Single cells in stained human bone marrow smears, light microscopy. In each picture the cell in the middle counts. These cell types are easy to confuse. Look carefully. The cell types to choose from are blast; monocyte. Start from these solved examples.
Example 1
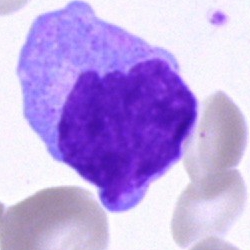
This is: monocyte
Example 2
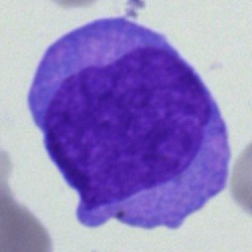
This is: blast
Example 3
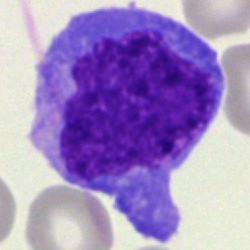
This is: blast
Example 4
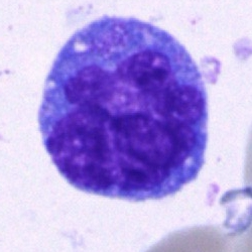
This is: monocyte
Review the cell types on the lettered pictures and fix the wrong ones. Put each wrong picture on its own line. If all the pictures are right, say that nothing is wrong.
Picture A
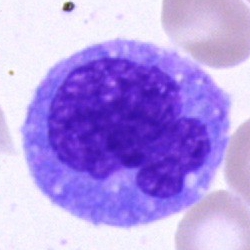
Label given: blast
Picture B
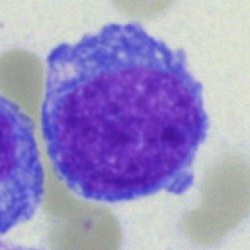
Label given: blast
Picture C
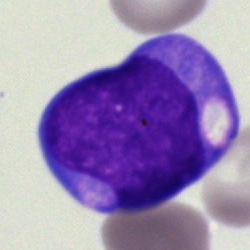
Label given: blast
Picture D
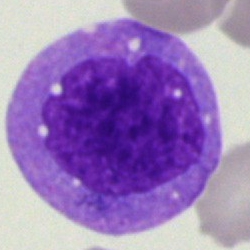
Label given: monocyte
A should be monocyte, not blast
